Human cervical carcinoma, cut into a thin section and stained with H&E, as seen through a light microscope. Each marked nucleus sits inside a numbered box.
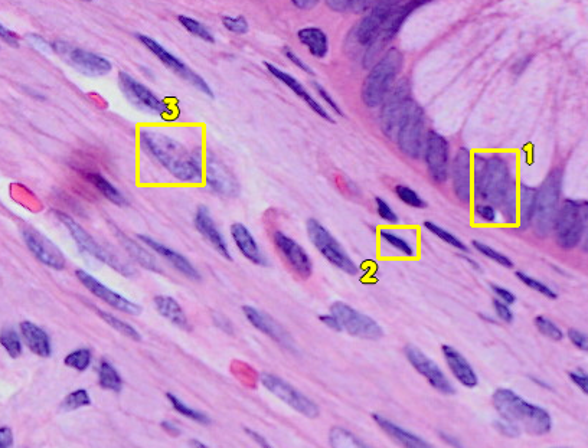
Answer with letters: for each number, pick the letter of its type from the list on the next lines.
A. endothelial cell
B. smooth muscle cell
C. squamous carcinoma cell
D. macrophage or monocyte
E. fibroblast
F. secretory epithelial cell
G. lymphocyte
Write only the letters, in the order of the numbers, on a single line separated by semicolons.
F; E; A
